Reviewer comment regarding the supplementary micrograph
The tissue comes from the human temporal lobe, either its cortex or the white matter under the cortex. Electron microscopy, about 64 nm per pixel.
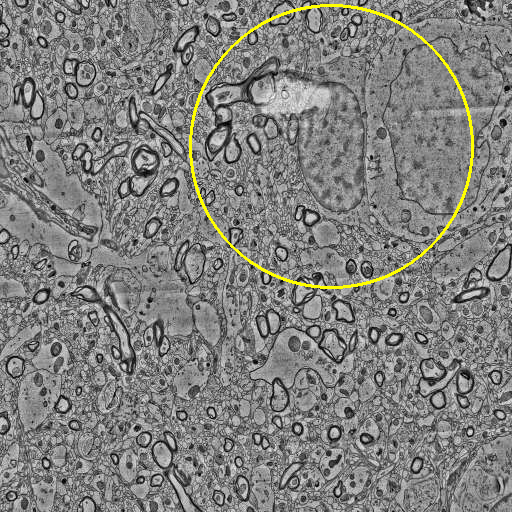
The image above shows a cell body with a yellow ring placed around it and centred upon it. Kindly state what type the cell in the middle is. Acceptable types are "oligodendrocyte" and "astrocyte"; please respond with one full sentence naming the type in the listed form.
In the image above, the cell on which the yellow ring is centred is an oligodendrocyte.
